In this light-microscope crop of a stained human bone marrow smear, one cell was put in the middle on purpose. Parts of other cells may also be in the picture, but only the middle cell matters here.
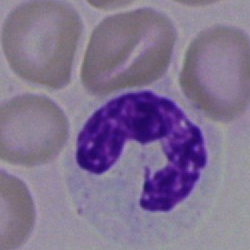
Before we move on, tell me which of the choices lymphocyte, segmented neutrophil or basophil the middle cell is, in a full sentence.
In the centre of this crop there is a segmented neutrophil.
